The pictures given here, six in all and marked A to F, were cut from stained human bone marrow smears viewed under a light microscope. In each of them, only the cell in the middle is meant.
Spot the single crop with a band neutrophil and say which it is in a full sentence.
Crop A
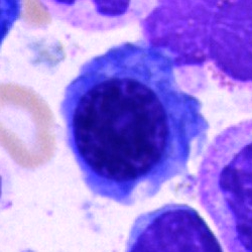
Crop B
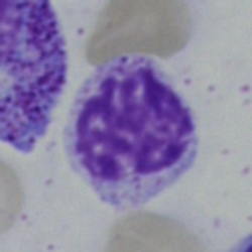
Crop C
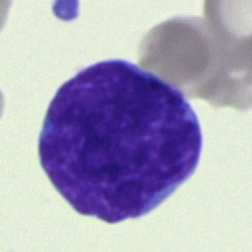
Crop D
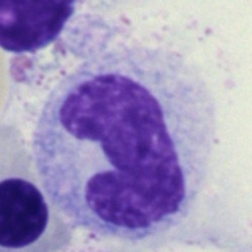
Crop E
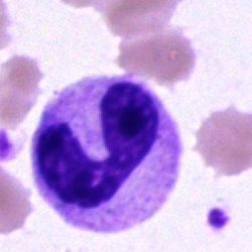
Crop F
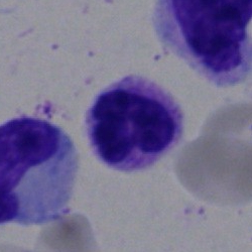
It is in crop E, among all the crops, that a band neutrophil is present.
